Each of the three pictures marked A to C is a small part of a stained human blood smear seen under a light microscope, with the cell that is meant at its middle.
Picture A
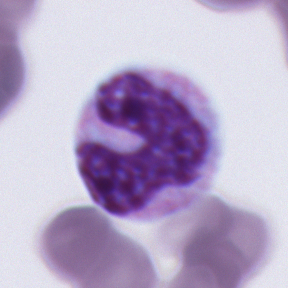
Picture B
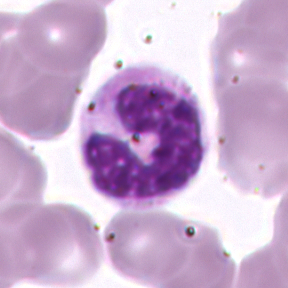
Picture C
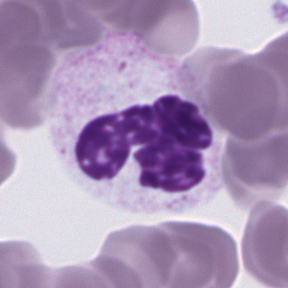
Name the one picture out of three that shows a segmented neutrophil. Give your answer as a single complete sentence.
Picture C shows the segmented neutrophil.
